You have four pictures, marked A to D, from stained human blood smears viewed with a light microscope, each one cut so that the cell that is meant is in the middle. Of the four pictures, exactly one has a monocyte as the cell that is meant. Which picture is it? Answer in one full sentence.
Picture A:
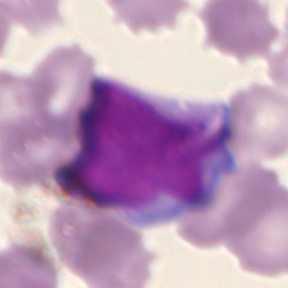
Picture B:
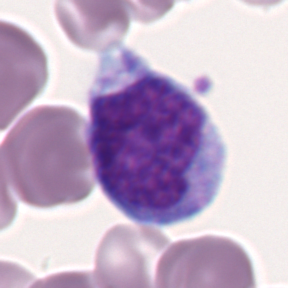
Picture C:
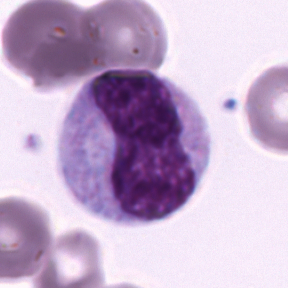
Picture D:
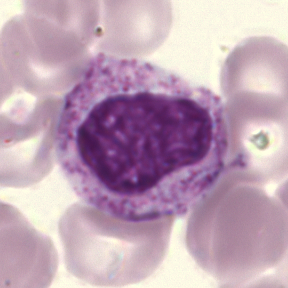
Picture B shows the monocyte.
